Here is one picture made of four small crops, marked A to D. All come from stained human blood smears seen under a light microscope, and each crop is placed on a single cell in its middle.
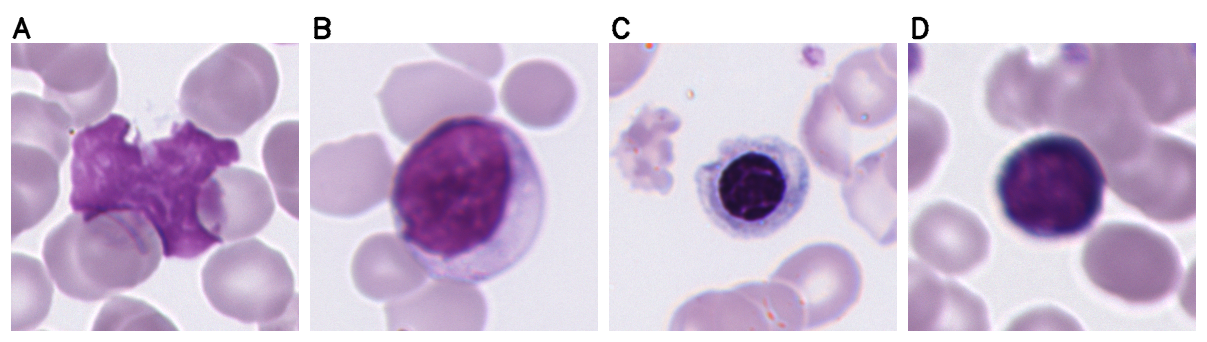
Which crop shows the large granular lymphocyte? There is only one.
B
